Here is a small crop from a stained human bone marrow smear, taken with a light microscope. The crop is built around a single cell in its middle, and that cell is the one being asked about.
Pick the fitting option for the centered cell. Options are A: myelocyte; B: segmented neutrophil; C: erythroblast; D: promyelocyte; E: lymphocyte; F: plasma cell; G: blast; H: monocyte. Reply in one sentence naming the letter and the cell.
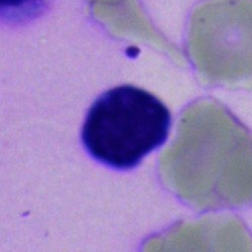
Option E is right, the centrally situated cell being a lymphocyte.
